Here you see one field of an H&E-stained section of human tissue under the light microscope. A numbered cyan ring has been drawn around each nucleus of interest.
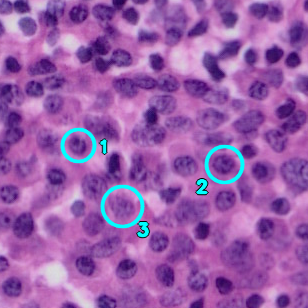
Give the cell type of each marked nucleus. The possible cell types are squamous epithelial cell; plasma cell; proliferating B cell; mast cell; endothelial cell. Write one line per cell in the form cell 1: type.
cell 1: plasma cell
cell 2: plasma cell
cell 3: squamous epithelial cell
